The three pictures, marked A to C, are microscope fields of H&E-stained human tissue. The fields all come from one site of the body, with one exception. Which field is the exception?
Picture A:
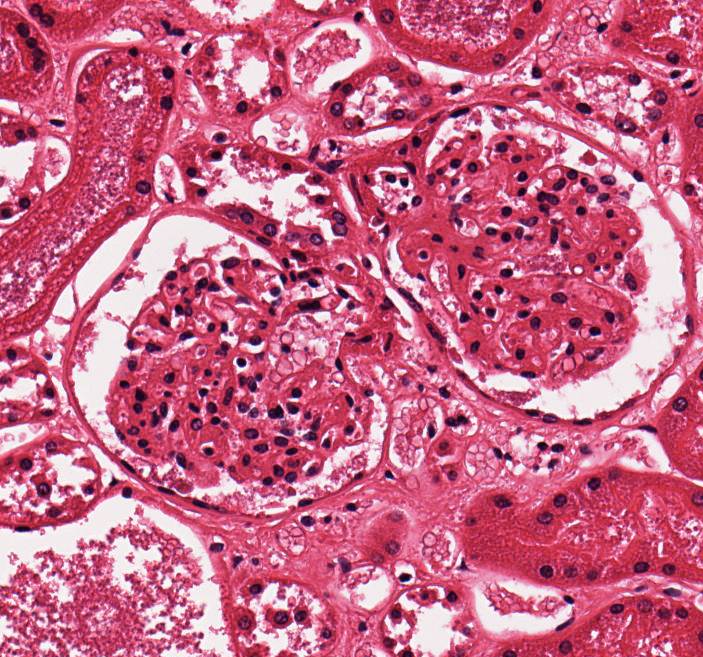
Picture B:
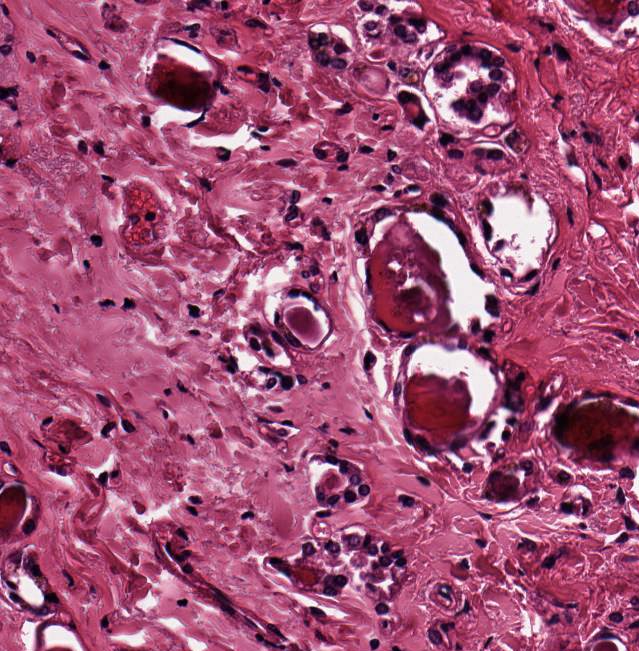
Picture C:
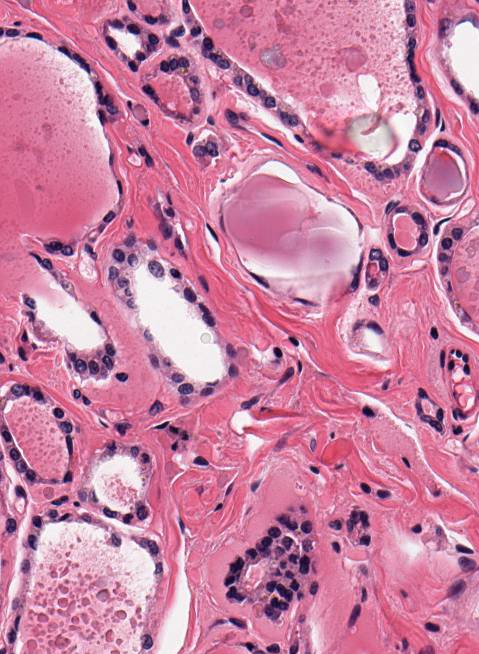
A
